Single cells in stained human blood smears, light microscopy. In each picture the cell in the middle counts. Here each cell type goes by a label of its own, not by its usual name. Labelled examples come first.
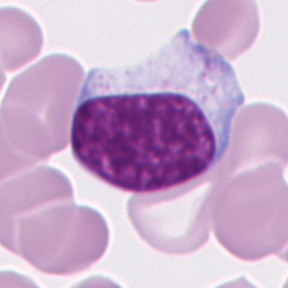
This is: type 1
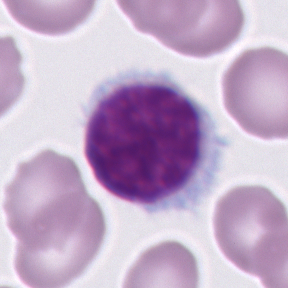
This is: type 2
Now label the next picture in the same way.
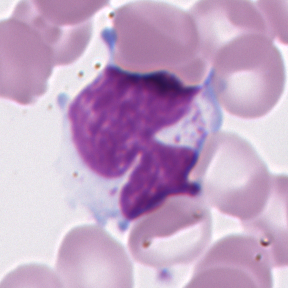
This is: type 1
